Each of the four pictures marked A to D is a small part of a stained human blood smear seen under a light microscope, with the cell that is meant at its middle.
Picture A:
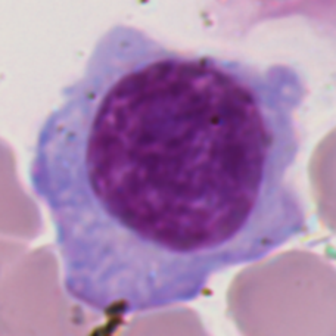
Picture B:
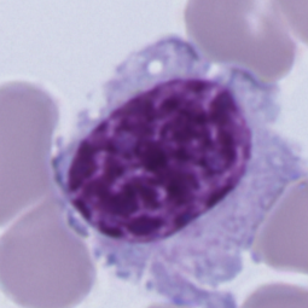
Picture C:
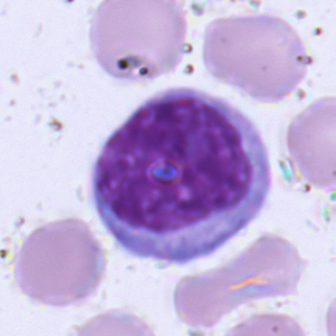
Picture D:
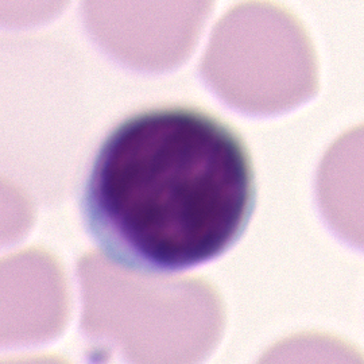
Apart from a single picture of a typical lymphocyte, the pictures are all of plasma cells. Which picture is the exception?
D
